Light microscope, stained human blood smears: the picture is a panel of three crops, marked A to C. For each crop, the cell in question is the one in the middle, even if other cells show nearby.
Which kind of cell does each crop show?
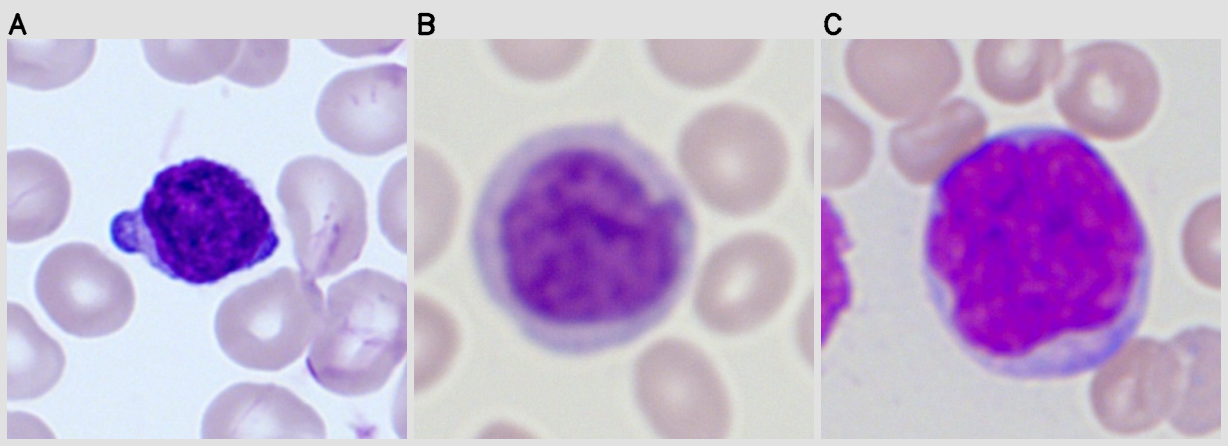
A: lymphocyte
B: monocyte
C: myeloblast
